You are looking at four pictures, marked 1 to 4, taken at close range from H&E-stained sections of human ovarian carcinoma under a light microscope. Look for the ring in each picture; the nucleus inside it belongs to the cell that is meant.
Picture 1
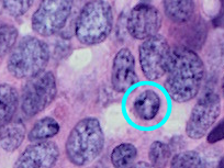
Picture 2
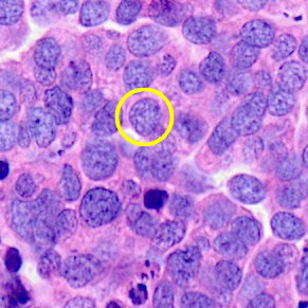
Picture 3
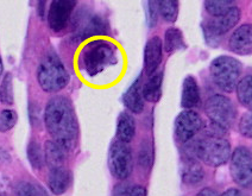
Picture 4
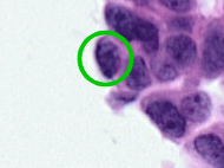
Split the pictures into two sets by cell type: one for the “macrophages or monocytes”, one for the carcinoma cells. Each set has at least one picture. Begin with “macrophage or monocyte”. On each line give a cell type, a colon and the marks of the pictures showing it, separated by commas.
macrophage or monocyte: 1
carcinoma cell: 2, 3, 4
